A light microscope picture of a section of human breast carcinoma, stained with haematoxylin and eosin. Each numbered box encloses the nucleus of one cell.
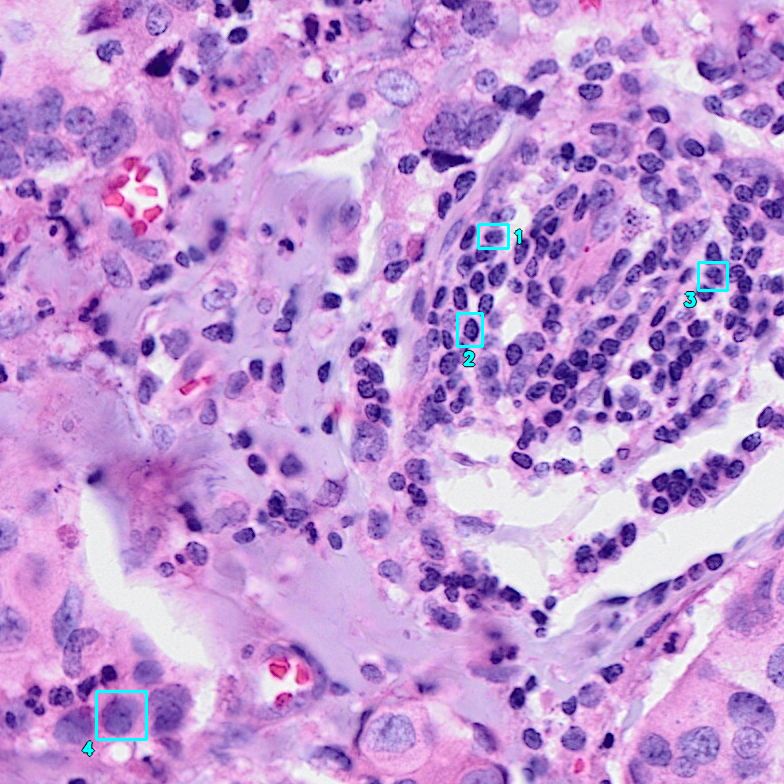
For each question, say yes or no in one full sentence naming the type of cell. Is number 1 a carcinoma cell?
No, the cell denoted 1 is a lymphocyte rather than a carcinoma cell.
